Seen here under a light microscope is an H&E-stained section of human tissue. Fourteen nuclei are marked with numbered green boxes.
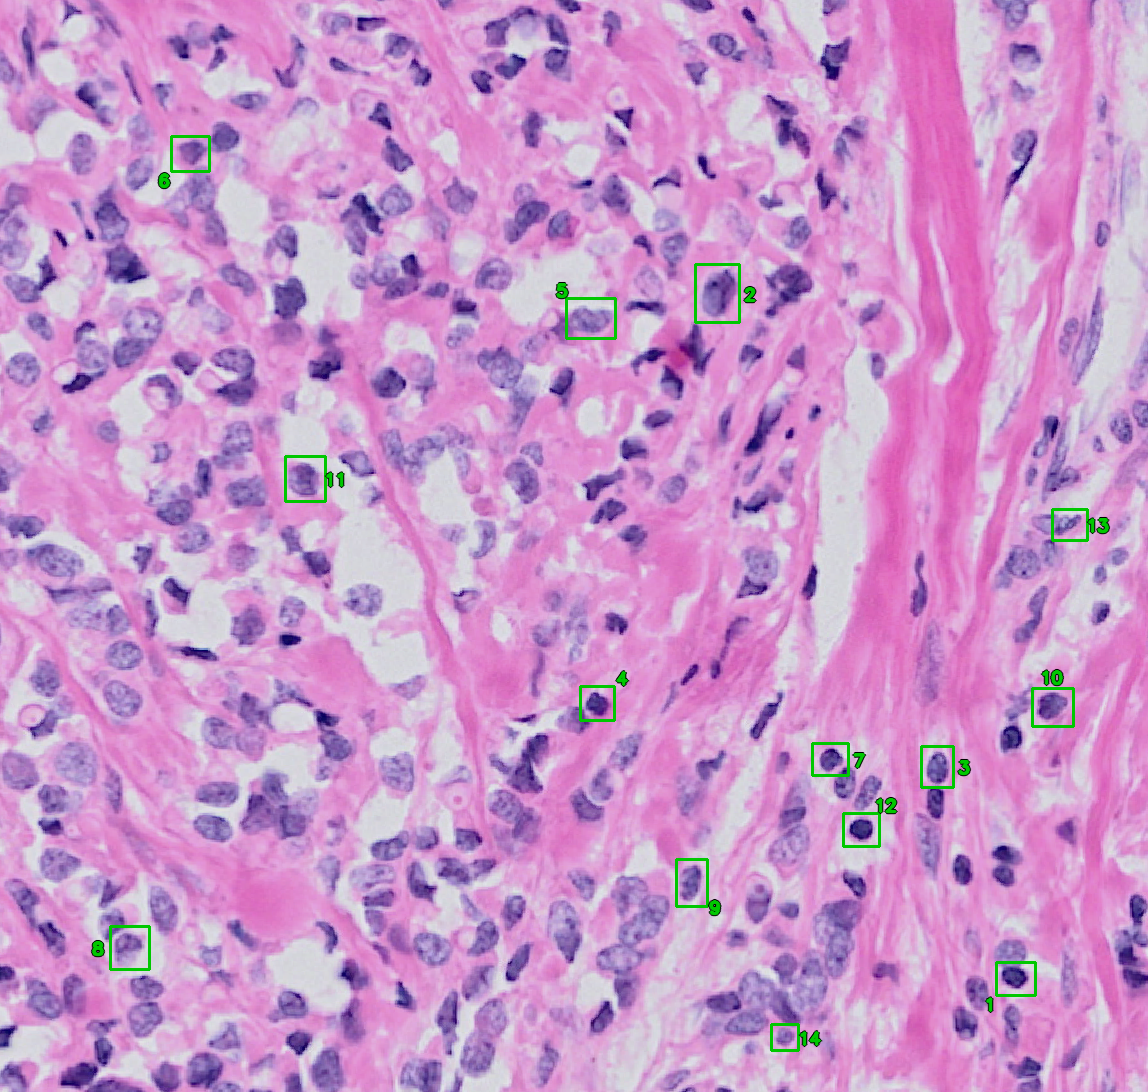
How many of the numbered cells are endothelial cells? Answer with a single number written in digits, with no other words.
1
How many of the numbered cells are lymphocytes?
8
